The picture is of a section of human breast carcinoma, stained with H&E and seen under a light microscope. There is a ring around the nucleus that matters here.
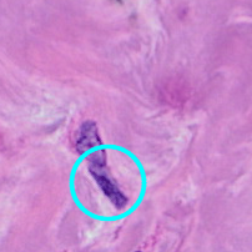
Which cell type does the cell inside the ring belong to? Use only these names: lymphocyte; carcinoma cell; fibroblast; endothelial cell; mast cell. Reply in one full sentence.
The cell inside the ring appears to be a fibroblast.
